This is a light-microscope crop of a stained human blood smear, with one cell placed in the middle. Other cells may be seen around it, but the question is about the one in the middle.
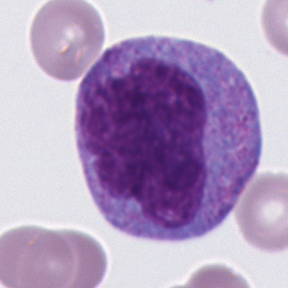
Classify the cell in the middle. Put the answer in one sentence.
The cell featured at the centre of this crop is an atypical promyelocyte.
